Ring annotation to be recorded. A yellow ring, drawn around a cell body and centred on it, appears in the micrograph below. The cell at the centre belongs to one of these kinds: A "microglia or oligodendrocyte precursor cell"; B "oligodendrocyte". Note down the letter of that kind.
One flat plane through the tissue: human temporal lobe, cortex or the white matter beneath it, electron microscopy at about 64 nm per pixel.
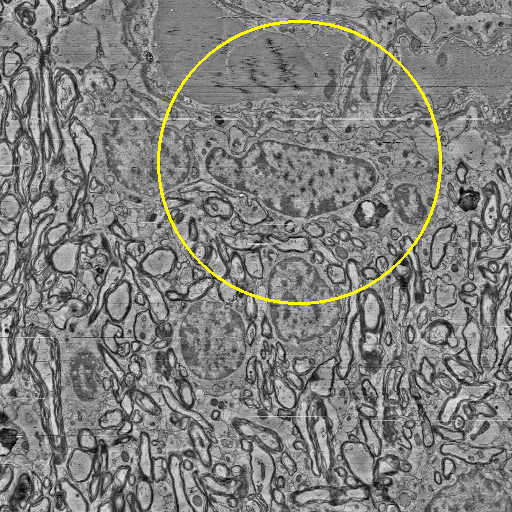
A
